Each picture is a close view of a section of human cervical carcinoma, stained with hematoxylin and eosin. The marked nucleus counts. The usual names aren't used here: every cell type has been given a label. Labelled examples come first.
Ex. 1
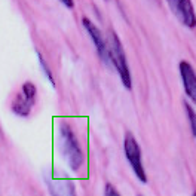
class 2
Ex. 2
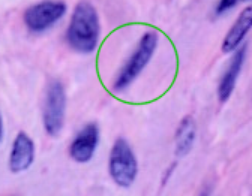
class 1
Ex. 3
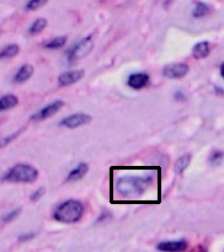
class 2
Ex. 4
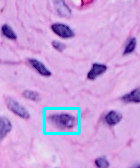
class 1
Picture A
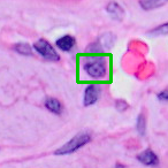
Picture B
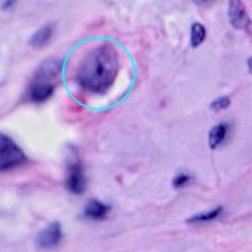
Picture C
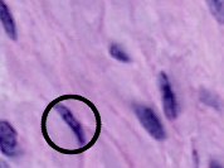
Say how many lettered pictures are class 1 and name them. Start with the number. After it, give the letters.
Count: 1 (C)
